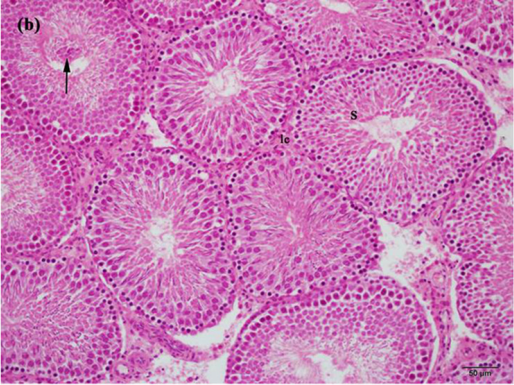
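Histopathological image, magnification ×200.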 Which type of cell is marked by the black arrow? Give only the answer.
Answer: Deciduous spermatids.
